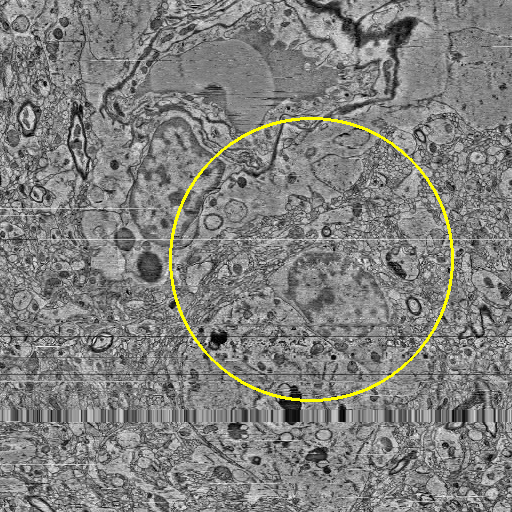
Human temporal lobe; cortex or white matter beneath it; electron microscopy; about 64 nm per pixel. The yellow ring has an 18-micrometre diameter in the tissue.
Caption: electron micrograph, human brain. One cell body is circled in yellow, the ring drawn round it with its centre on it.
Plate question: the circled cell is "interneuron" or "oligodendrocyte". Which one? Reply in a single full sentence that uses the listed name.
The yellow ring on the plate is centred on an oligodendrocyte, going by the listed names.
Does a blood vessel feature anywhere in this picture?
Yes.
